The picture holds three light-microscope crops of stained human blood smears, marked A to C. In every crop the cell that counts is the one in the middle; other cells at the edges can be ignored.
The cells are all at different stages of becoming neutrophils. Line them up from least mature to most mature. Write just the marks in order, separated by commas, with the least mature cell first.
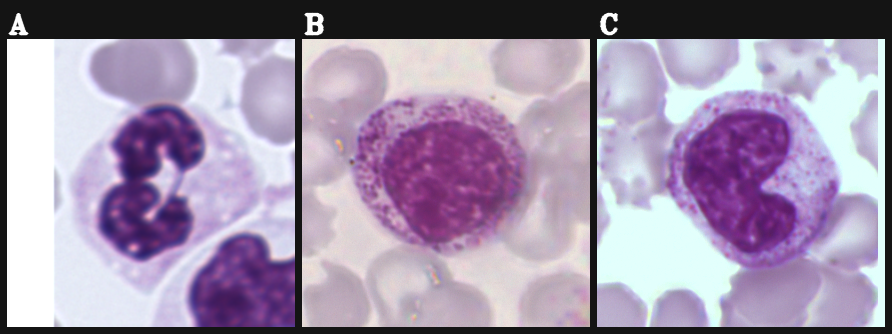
B, C, A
